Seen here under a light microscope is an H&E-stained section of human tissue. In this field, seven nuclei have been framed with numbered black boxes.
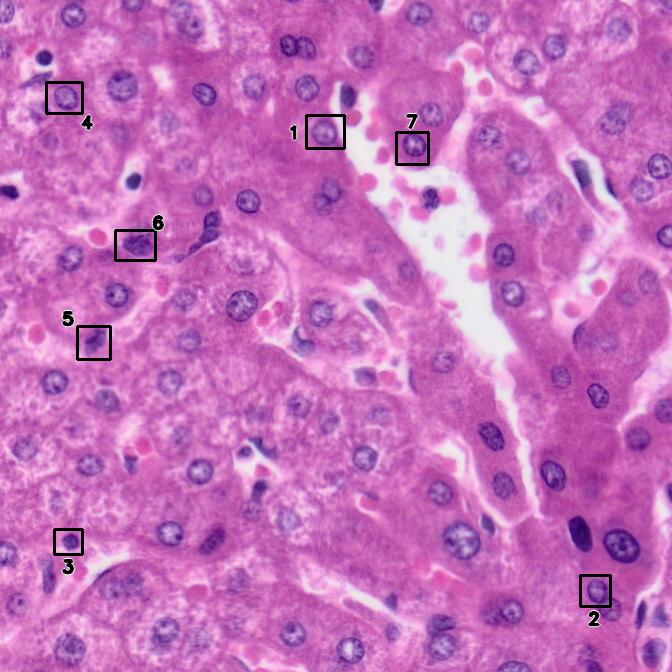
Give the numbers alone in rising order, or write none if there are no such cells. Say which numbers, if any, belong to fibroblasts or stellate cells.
6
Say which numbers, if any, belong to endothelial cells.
5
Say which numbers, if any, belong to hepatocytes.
1, 2, 4, 7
